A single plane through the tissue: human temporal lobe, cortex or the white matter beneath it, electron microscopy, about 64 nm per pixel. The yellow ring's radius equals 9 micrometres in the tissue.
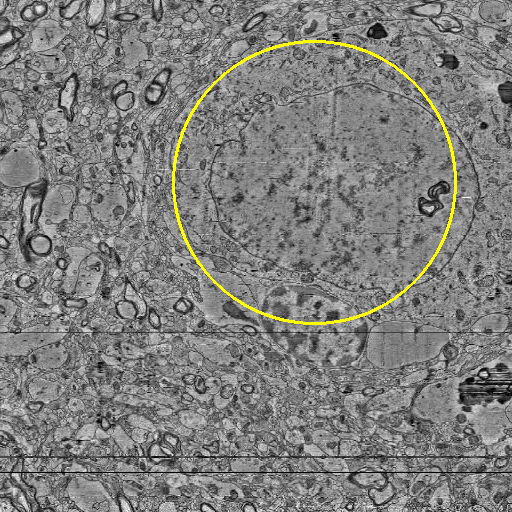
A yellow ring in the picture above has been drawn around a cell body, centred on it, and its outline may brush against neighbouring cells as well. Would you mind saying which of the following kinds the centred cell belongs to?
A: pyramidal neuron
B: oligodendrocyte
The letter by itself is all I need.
A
